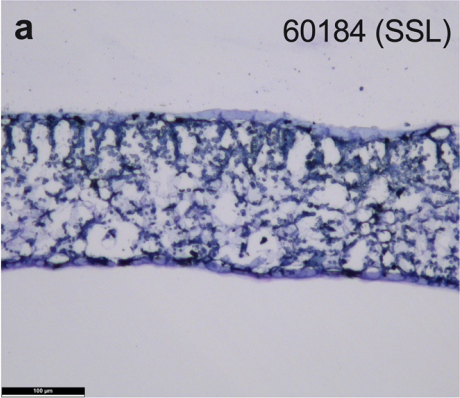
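This is a cross-section through a leaf lamina, seen as a band of tissue running horizontally across the field. Both the upper and lower surfaces are bordered by a thin, continuous layer of flattened cells stained blue to purple. Between these surface layers lies a loose internal tissue of small, irregularly shaped cells outlined in blue. The cells are separated by numerous large, pale, irregular air spaces, giving the interior an open, spongy appearance. The band is of fairly even thickness along its length.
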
